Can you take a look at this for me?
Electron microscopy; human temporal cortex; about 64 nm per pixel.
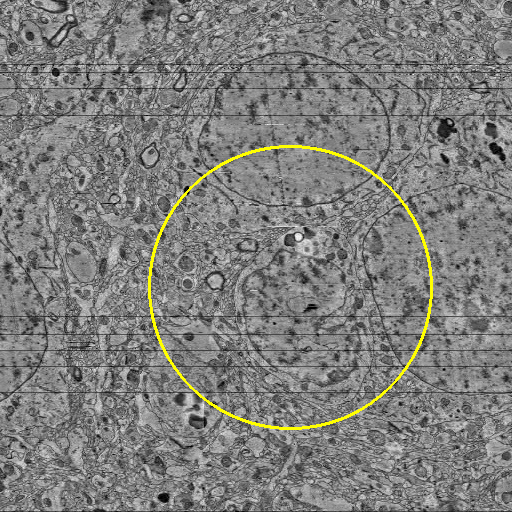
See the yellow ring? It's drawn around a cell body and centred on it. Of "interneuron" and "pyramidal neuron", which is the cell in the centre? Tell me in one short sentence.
The one in the centre is an interneuron.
